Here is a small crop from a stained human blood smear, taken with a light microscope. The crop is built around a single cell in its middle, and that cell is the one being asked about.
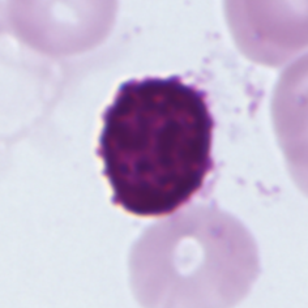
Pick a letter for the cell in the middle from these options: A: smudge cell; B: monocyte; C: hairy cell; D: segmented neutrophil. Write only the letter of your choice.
A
